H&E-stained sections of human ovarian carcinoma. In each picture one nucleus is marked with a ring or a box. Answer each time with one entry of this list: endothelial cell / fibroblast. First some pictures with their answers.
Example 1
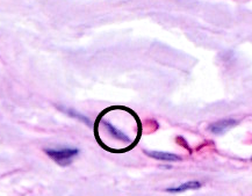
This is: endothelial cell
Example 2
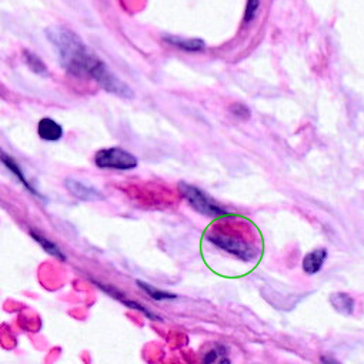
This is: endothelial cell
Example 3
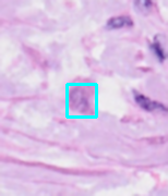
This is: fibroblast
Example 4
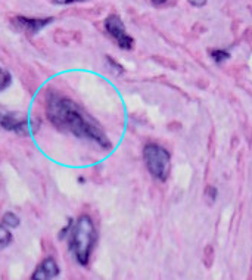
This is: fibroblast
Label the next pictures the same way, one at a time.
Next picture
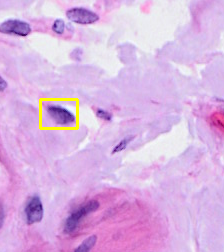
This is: fibroblast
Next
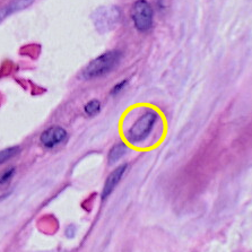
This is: endothelial cell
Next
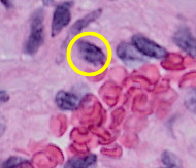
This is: endothelial cell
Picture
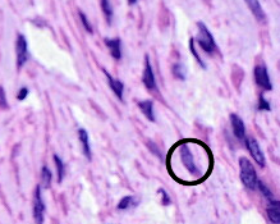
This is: fibroblast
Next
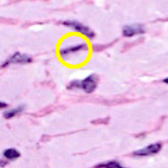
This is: fibroblast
